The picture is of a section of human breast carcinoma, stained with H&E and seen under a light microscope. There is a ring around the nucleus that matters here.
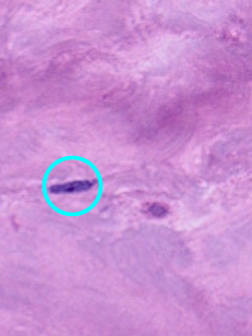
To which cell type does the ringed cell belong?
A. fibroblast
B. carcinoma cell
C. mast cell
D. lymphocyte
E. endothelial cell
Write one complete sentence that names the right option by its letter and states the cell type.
Here the ringed cell is a fibroblast, which makes option A correct.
